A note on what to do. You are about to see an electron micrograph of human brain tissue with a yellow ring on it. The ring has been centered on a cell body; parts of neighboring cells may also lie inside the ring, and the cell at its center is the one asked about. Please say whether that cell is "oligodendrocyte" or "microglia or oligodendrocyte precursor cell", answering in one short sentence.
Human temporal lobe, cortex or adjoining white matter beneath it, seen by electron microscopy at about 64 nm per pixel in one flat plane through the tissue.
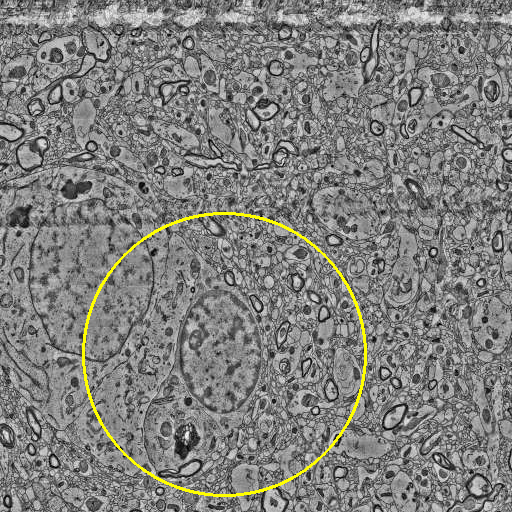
The yellow ring sits on an oligodendrocyte.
